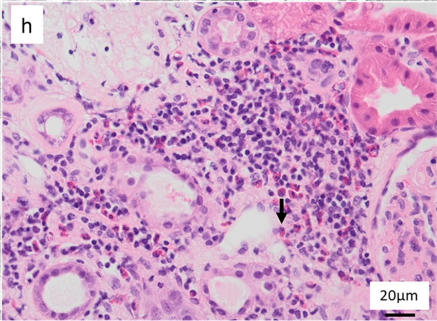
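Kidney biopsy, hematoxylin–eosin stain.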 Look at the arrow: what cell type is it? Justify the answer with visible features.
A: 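Eosinophil. The infiltrate of small round dark nuclei lies between tubules.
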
